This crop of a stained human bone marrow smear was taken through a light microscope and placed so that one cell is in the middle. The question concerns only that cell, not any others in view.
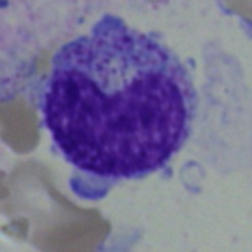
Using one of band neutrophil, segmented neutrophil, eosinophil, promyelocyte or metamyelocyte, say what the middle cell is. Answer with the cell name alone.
metamyelocyte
